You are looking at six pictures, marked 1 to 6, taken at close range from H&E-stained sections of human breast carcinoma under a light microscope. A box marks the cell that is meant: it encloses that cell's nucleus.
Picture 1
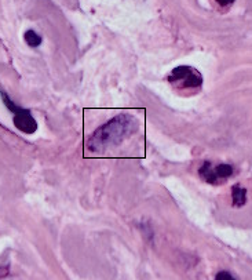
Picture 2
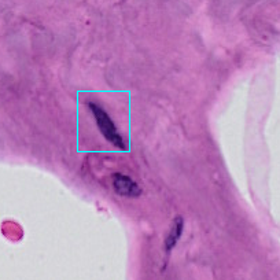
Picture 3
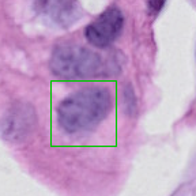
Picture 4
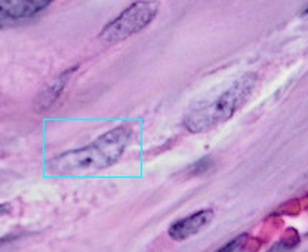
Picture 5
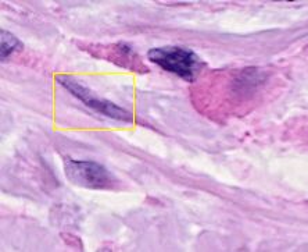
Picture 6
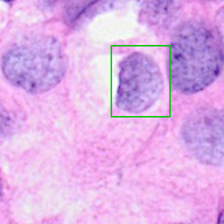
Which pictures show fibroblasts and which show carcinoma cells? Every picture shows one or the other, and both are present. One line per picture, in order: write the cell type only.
fibroblast
fibroblast
carcinoma cell
fibroblast
fibroblast
carcinoma cell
